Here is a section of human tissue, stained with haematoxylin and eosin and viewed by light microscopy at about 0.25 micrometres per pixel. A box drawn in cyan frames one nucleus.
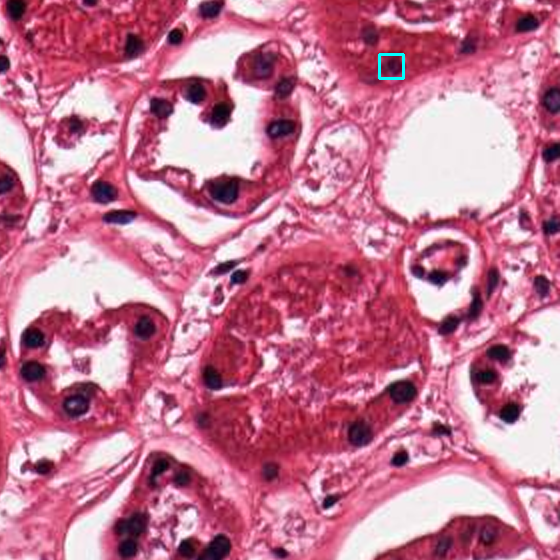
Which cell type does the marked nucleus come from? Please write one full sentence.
Marked in this picture is the nucleus of a proximal tubule cell.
